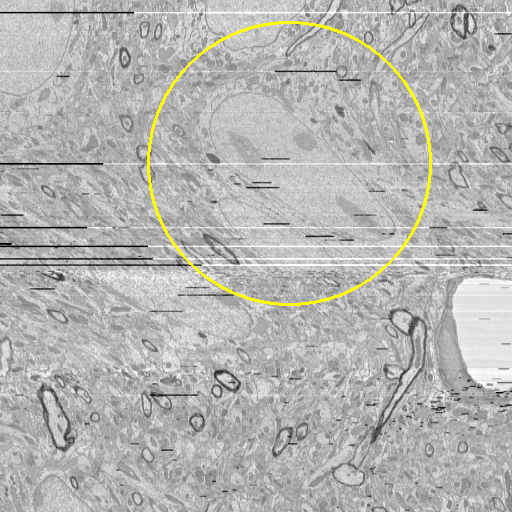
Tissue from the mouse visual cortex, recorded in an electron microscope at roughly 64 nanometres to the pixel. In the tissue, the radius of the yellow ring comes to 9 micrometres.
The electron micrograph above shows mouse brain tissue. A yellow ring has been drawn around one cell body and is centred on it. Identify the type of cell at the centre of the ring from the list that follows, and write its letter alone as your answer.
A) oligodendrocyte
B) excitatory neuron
B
